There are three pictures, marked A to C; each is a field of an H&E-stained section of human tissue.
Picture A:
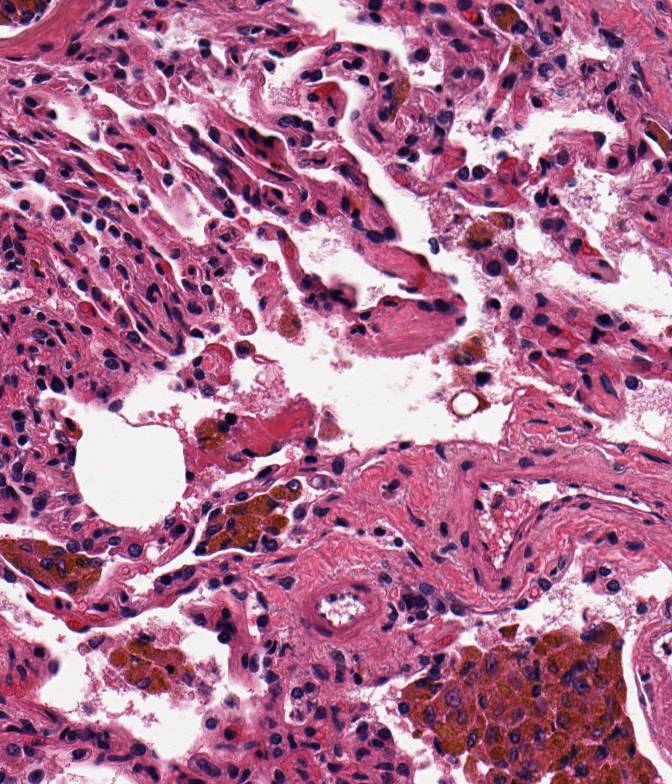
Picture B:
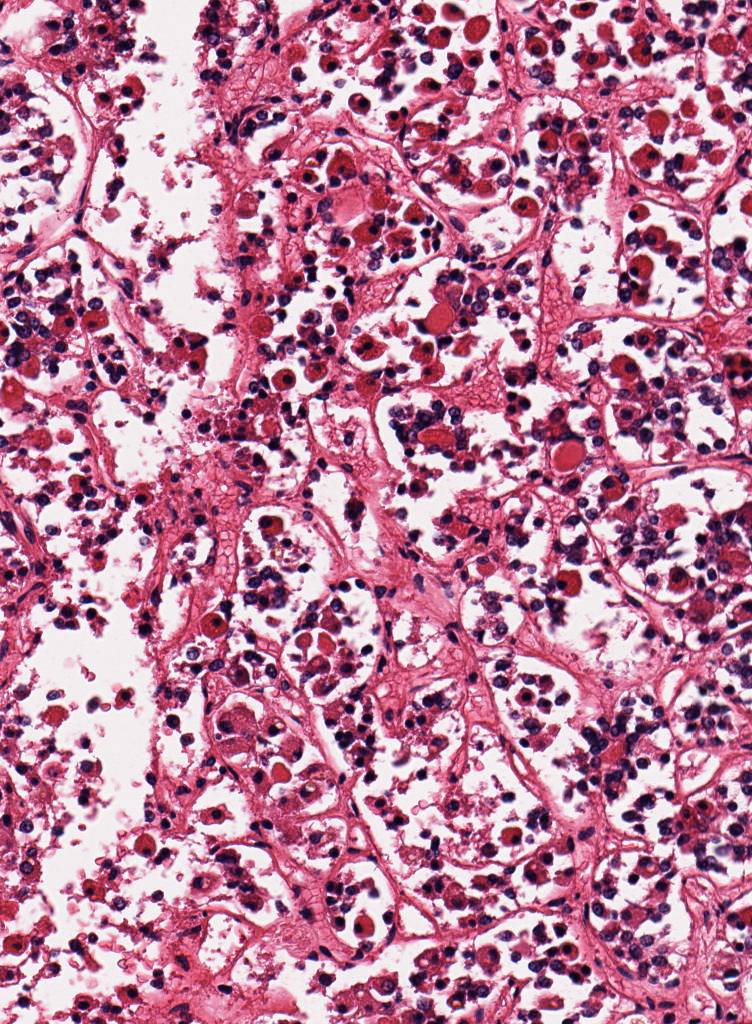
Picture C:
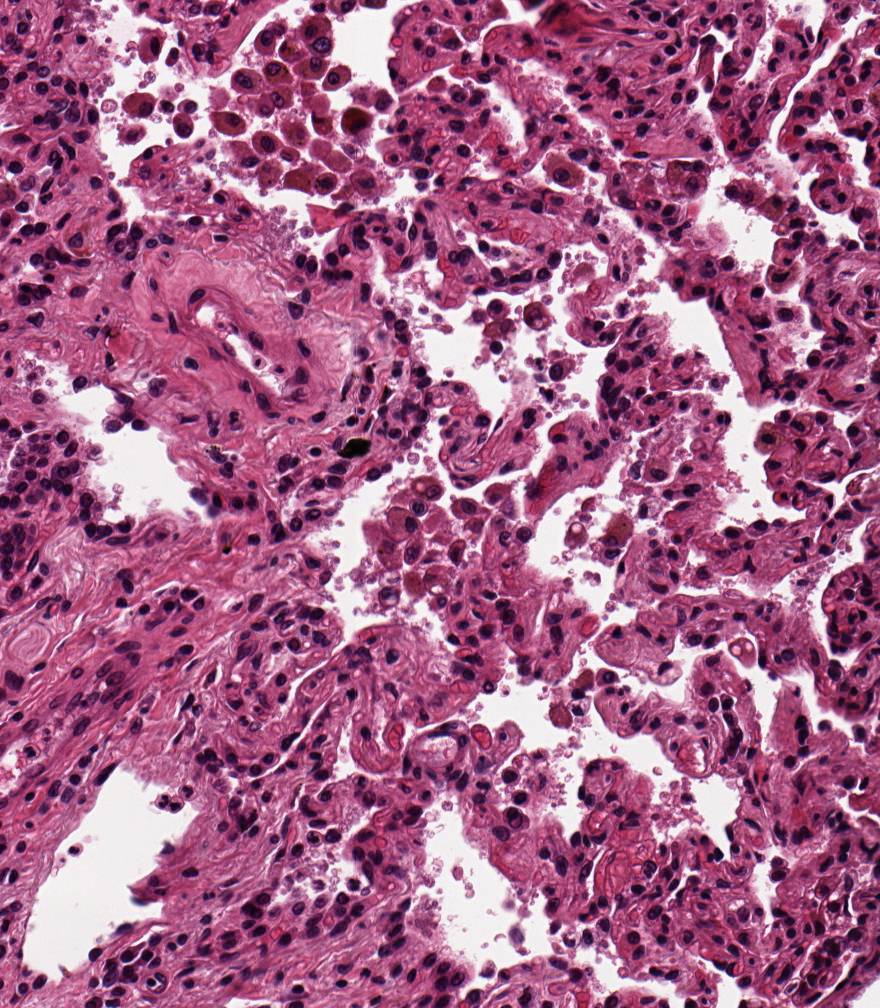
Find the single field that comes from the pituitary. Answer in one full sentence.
Picture B is the field that comes from the pituitary.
